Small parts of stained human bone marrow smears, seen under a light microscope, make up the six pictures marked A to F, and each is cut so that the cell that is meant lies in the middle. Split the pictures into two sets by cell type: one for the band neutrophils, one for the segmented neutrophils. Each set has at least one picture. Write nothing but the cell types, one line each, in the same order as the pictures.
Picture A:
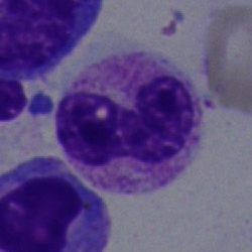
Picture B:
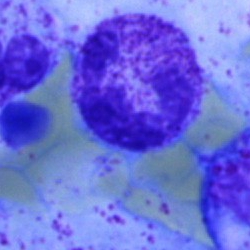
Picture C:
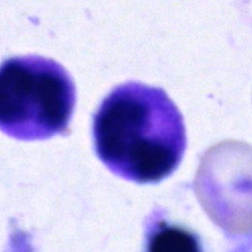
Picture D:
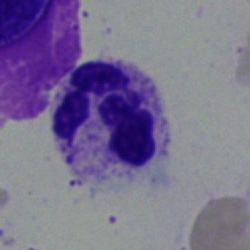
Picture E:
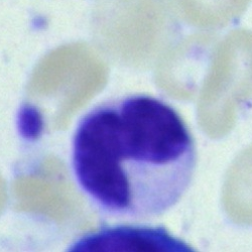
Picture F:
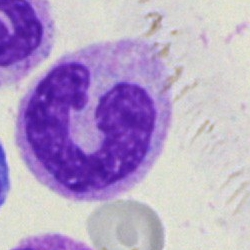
band neutrophil
segmented neutrophil
segmented neutrophil
segmented neutrophil
band neutrophil
band neutrophil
